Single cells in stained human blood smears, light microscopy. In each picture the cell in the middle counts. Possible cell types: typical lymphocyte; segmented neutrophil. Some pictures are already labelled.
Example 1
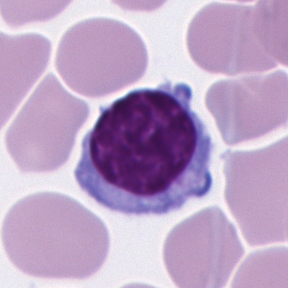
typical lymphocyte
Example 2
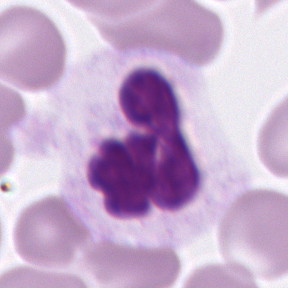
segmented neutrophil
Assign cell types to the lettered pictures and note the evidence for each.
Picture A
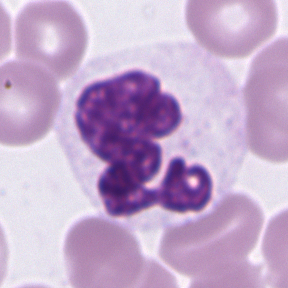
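Answer: segmented neutrophil. The cytoplasm is abundant and pale lilac-grey.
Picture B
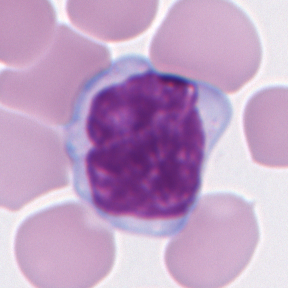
Answer: typical lymphocyte. The cytoplasm forms a narrow rim that is widest on the right side of the nucleus.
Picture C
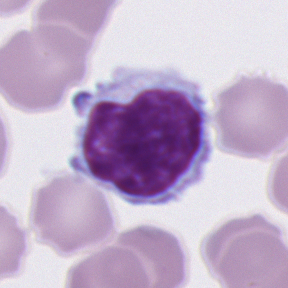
Answer: typical lymphocyte. The cytoplasm is a narrow pale grey-blue rim that is broadest above the nucleus.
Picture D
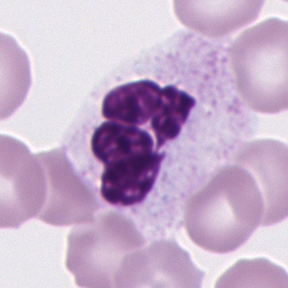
Answer: segmented neutrophil. The cytoplasm is abundant and very pale, faintly lilac-grey.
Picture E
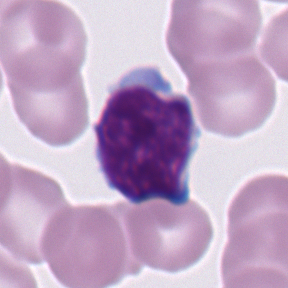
Answer: typical lymphocyte. The cytoplasm is scant and shows mainly as a small cap at the top edge of the cell.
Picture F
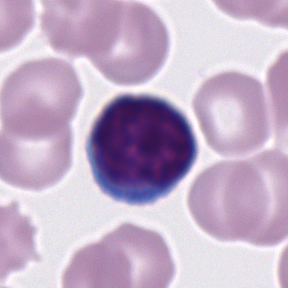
Answer: typical lymphocyte. The cytoplasm forms only a thin rim beside the nucleus.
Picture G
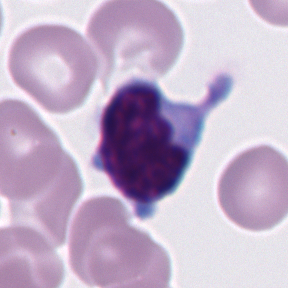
Answer: typical lymphocyte. The nucleus fills most of the cell.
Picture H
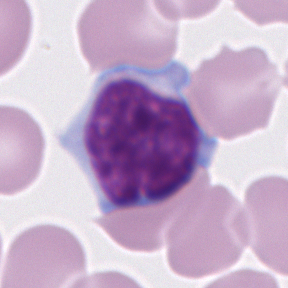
Answer: typical lymphocyte. The cytoplasm forms only a narrow pale blue rim around the nucleus.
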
